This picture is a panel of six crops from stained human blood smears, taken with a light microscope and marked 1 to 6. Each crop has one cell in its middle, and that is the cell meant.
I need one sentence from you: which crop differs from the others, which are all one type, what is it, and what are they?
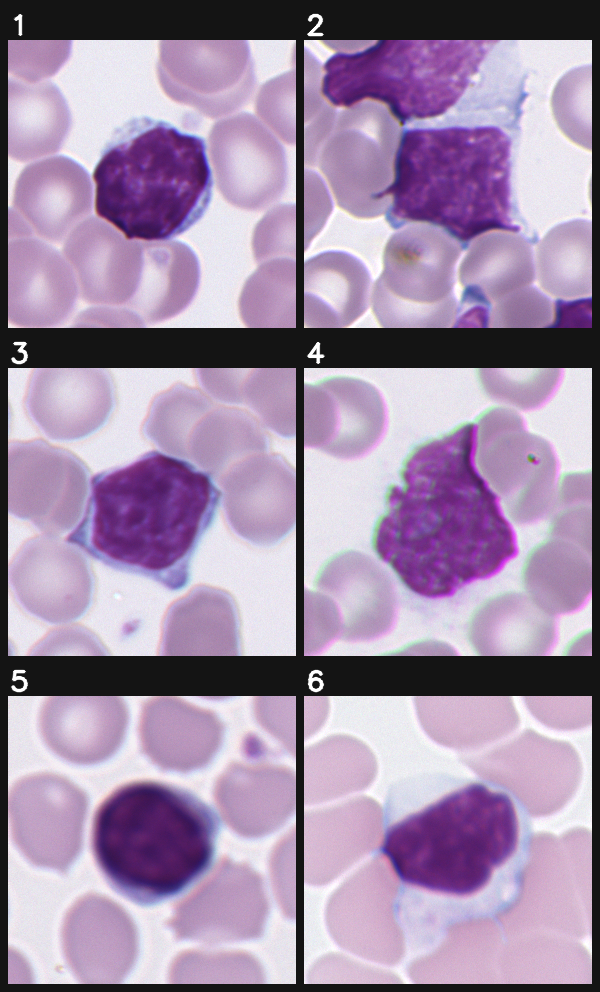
Unlike the rest, which all show typical lymphocytes, crop 4 contains a smudge cell.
